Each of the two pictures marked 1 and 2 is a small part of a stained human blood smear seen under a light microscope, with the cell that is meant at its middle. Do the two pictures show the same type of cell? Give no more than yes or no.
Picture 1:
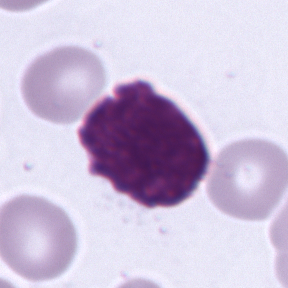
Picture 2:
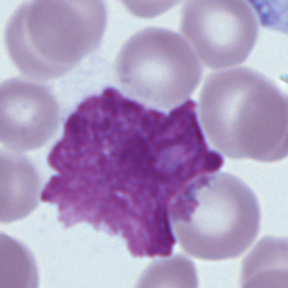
yes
